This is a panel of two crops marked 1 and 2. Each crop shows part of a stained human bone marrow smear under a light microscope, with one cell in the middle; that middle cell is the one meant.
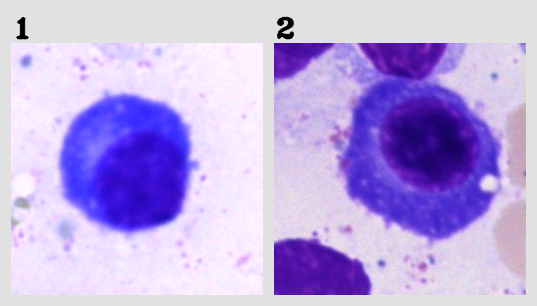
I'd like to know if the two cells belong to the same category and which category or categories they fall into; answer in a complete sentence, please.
Yes, the middle cells in the two crops are plasma cells.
